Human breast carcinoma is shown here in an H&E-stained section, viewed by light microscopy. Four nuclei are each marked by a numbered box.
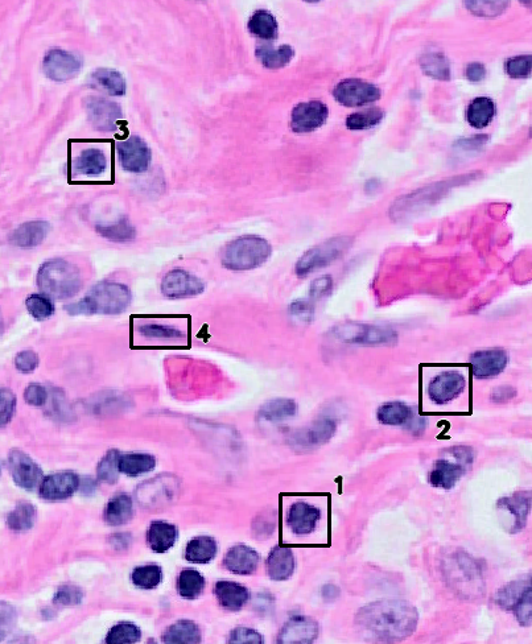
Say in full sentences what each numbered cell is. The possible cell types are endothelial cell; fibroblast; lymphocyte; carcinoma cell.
Cells 1, 2 and 3 are lymphocytes. Cell 4 is an endothelial cell.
